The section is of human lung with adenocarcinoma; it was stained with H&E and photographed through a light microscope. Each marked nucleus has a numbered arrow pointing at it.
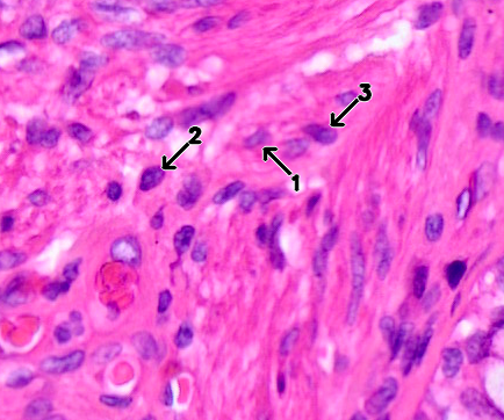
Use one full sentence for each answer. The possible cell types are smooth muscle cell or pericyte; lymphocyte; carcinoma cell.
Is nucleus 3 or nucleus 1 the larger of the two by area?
Nucleus 3 is the larger one, covering about 1.5 times the area of nucleus 1.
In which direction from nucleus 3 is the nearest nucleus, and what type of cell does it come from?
The nearest nucleus is that of a smooth muscle cell or pericyte and lies below and to the left of nucleus 3.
